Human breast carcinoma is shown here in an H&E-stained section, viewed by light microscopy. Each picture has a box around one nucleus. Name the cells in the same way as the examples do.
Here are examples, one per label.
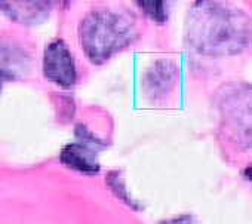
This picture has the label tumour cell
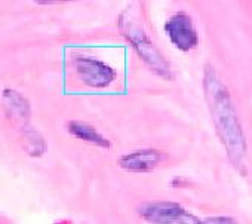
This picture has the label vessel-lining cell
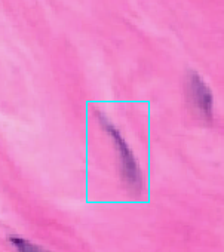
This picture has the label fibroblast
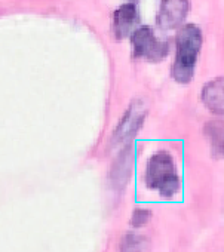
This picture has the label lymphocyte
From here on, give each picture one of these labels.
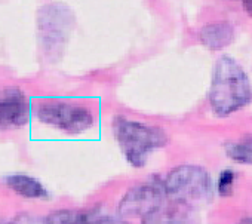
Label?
tumour cell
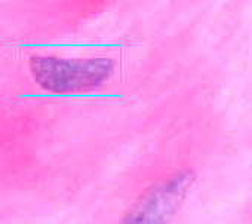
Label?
fibroblast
